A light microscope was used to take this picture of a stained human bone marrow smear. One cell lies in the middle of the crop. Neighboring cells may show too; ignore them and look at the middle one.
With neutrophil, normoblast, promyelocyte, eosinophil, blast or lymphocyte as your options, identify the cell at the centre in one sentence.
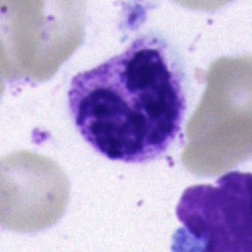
Among the cells in view, the one in the middle is a neutrophil.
